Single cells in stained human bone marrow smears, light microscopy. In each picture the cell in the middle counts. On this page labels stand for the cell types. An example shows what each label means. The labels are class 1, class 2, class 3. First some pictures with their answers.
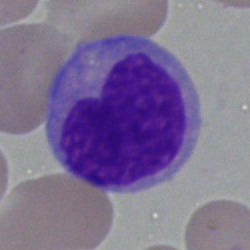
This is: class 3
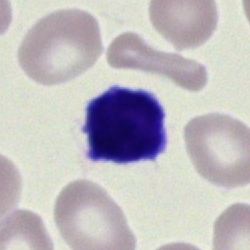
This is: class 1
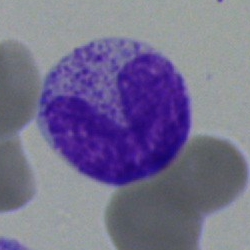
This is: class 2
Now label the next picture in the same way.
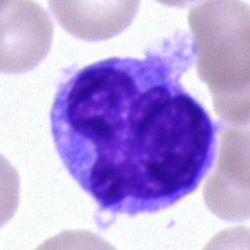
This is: class 3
